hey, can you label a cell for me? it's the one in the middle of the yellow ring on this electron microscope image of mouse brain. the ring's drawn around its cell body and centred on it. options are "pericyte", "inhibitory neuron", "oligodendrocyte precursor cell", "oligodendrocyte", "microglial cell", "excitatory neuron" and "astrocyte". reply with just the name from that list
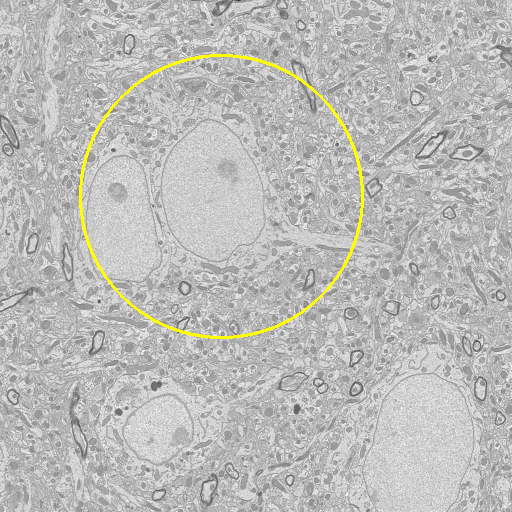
excitatory neuron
